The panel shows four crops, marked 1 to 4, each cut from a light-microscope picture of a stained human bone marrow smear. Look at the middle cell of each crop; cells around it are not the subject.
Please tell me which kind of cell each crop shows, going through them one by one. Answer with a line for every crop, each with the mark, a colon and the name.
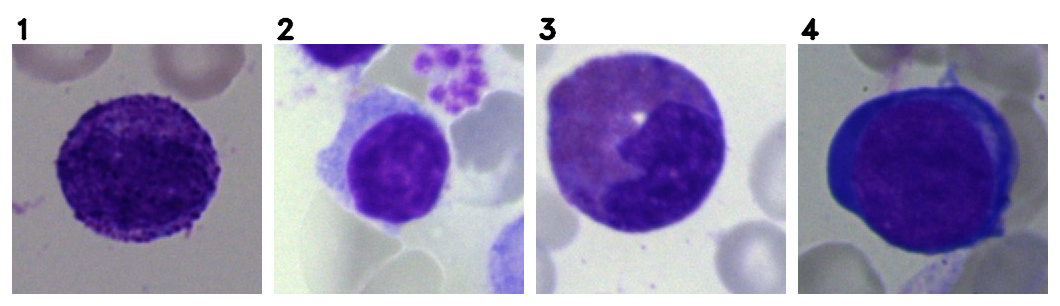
1: promyelocyte
2: hairy cell
3: eosinophil
4: proerythroblast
